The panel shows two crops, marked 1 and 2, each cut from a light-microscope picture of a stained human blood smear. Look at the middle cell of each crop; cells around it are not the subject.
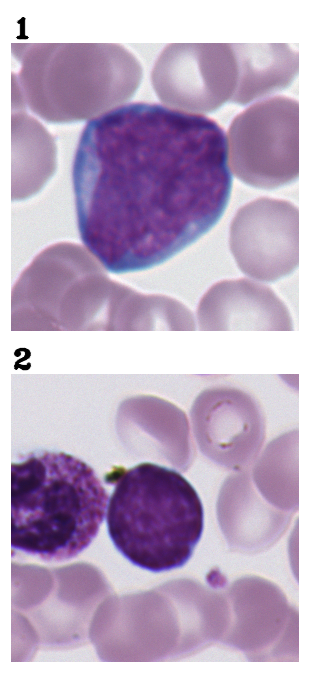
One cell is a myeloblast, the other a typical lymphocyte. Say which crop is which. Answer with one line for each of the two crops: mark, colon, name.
1: myeloblast
2: typical lymphocyte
